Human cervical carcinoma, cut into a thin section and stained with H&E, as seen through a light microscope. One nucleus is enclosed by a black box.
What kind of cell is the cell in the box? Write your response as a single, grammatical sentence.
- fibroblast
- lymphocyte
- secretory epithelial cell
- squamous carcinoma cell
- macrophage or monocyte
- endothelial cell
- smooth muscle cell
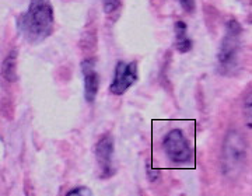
The classification of the cell in the box is as a macrophage or monocyte.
